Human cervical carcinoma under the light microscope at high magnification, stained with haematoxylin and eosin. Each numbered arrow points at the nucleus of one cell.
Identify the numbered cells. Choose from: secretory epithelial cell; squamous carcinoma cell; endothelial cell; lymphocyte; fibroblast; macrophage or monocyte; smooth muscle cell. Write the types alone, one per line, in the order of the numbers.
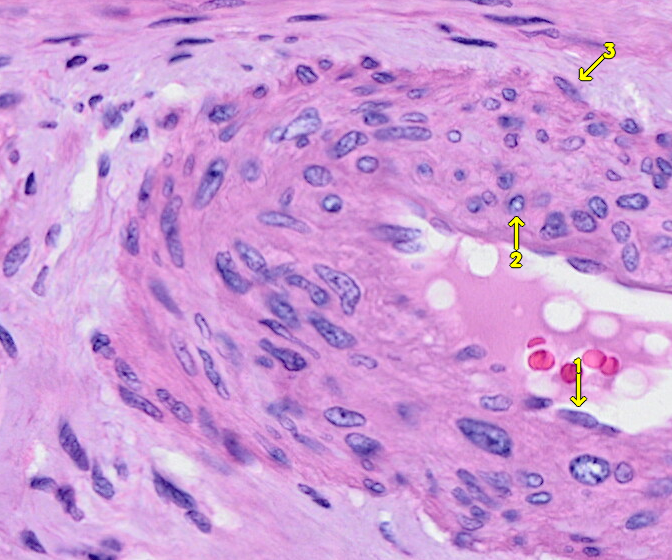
endothelial cell
smooth muscle cell
smooth muscle cell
